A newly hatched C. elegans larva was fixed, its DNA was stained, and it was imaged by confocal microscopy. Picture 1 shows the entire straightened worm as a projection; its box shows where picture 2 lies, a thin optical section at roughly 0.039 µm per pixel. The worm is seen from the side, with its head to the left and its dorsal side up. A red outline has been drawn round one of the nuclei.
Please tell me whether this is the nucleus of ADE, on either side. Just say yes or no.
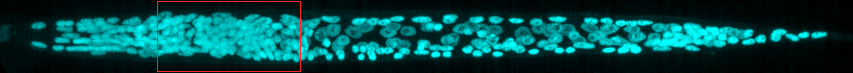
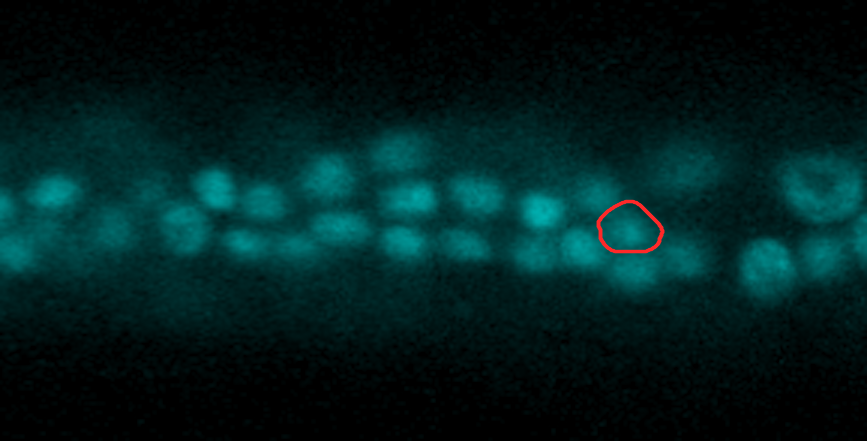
yes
